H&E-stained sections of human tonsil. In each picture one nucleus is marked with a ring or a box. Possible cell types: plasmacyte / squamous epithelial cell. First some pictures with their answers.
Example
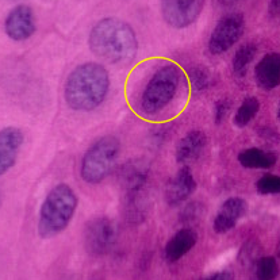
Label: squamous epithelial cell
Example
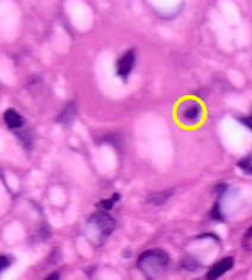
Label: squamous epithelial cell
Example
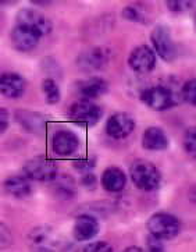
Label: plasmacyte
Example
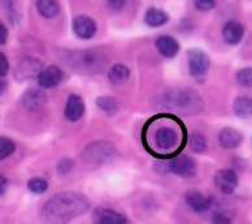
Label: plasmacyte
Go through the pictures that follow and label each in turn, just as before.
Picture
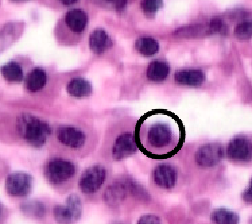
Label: plasmacyte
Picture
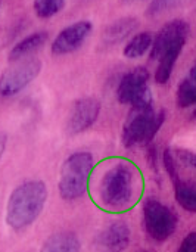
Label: squamous epithelial cell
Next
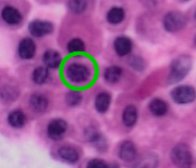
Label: plasmacyte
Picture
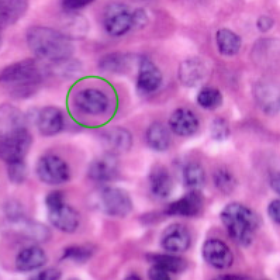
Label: plasmacyte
